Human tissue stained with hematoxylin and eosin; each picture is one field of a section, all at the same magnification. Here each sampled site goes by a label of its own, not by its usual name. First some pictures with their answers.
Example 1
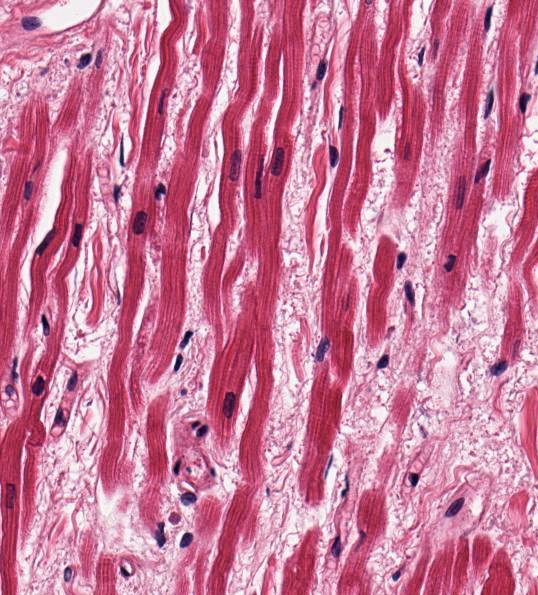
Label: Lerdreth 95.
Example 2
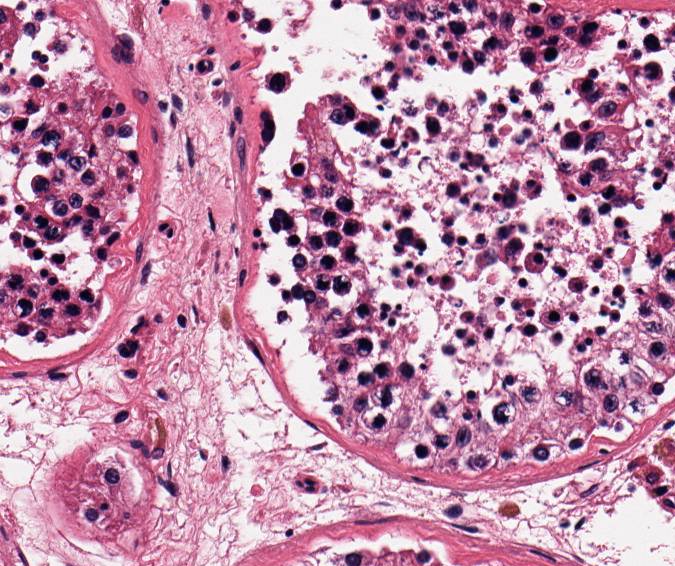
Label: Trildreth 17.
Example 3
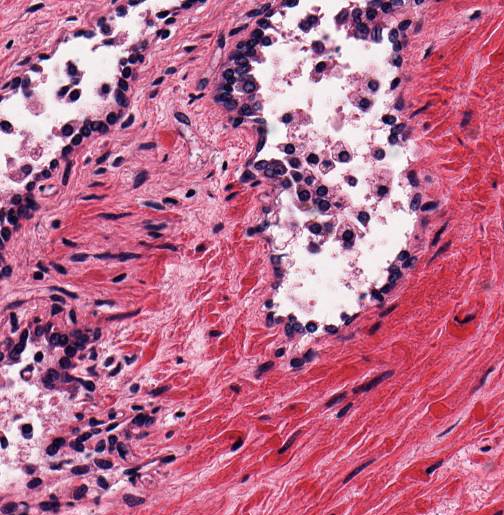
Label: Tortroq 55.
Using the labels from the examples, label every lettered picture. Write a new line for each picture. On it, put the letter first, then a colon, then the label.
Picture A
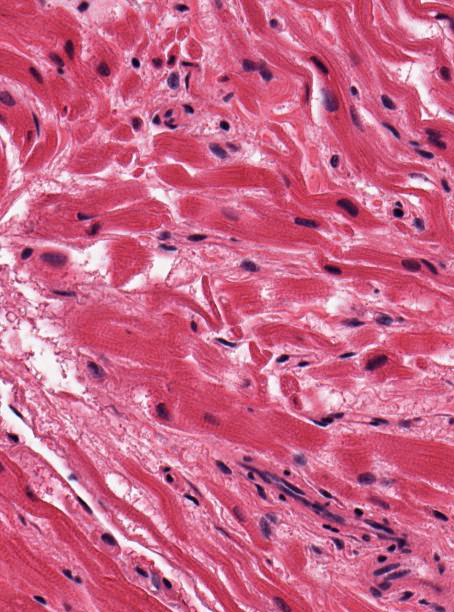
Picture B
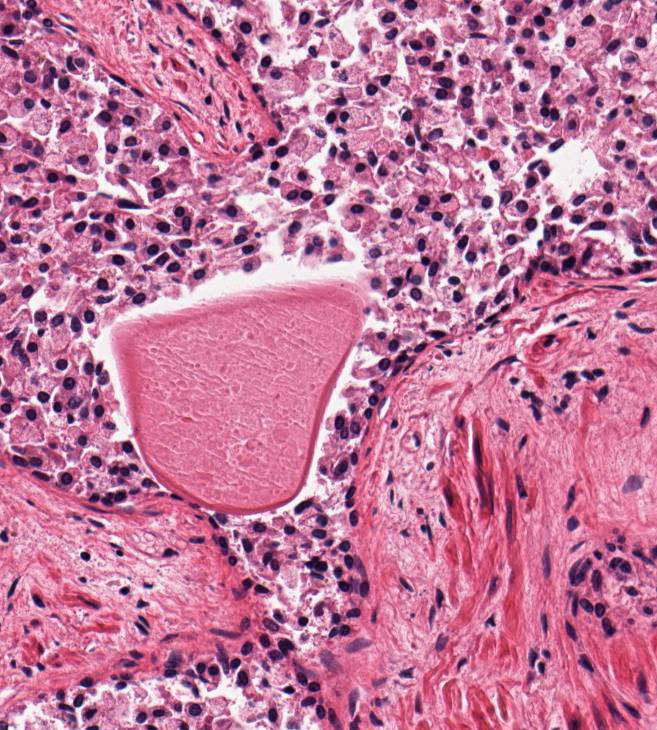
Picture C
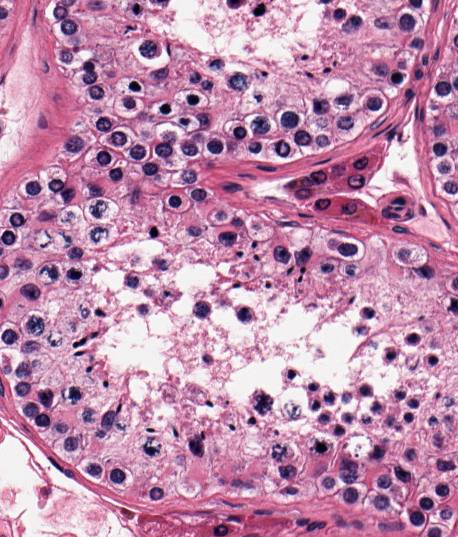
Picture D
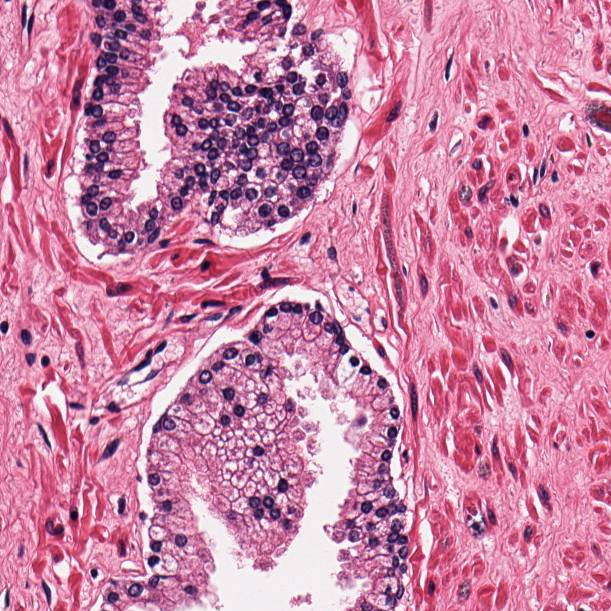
A: Lerdreth 95.
B: Tortroq 55.
C: Trildreth 17.
D: Tortroq 55.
